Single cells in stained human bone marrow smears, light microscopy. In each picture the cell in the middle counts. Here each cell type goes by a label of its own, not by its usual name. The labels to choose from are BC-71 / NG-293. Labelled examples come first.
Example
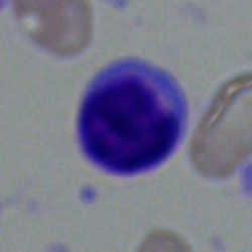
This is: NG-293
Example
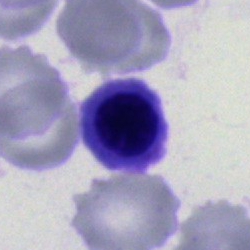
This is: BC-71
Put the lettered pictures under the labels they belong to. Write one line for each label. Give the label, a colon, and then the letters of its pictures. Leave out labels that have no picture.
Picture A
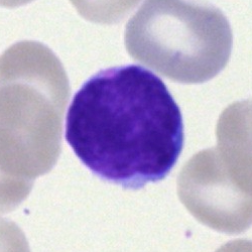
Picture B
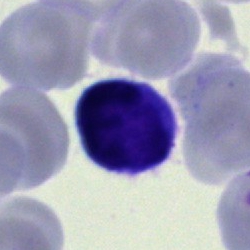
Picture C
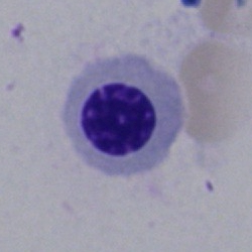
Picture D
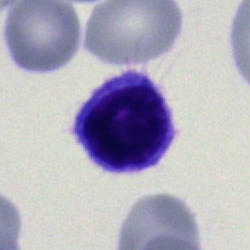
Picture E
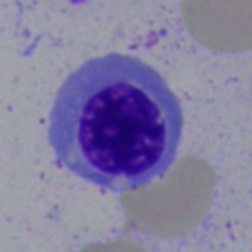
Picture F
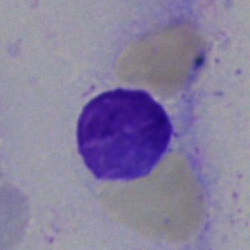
BC-71: C, E
NG-293: A, B, D, F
